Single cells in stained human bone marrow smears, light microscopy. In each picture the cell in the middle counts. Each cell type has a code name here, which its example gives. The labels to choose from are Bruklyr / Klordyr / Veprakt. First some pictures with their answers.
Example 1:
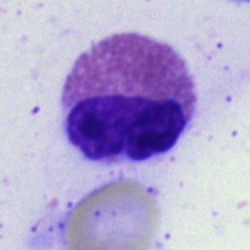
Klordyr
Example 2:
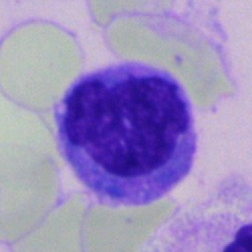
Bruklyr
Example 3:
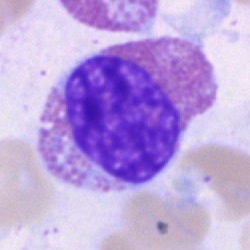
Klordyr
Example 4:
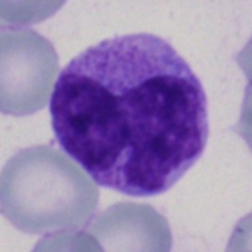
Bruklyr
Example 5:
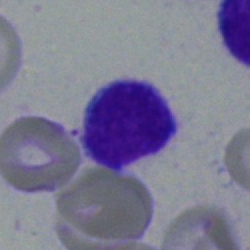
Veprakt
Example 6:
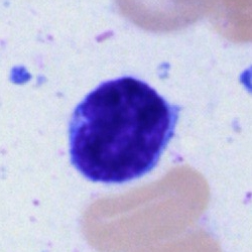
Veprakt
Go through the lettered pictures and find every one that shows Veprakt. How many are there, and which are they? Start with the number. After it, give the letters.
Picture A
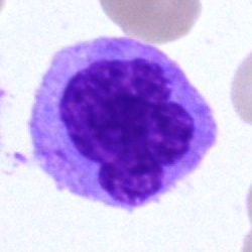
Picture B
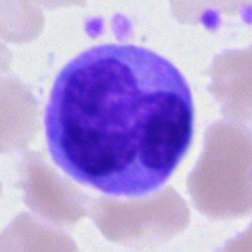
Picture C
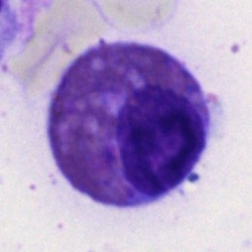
0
